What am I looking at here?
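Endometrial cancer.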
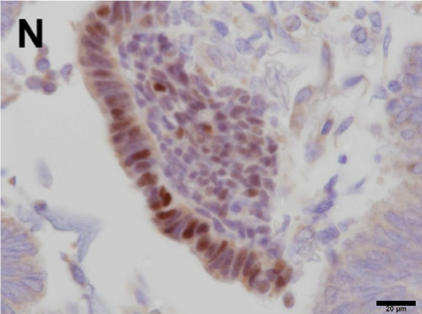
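A single layer of tall columnar epithelial cells with elongated, deep brown nuclei lines one side of a small compact cluster of cells whose round to oval nuclei are also stained brown. The cytoplasm is pale. Around the fragment lies an open space with a few scattered cells, and at the right and lower edges are neighbouring glands whose cells show blue nuclei and faint brownish cytoplasm, contrasting sharply with the strongly stained nuclei of the fragment.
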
